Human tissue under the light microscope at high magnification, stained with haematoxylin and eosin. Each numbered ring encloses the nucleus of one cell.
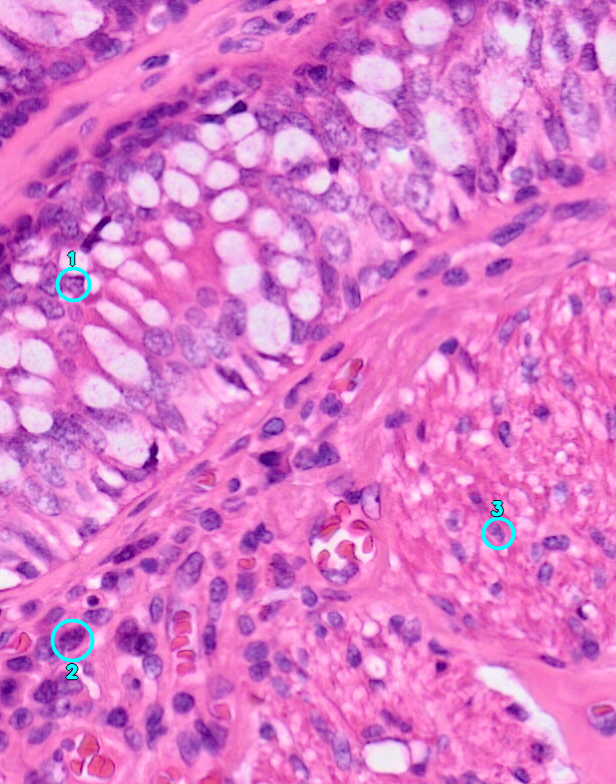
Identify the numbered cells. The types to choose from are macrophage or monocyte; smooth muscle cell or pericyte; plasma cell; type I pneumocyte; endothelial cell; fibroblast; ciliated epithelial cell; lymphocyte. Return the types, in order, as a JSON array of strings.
["ciliated epithelial cell", "plasma cell", "smooth muscle cell or pericyte"]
